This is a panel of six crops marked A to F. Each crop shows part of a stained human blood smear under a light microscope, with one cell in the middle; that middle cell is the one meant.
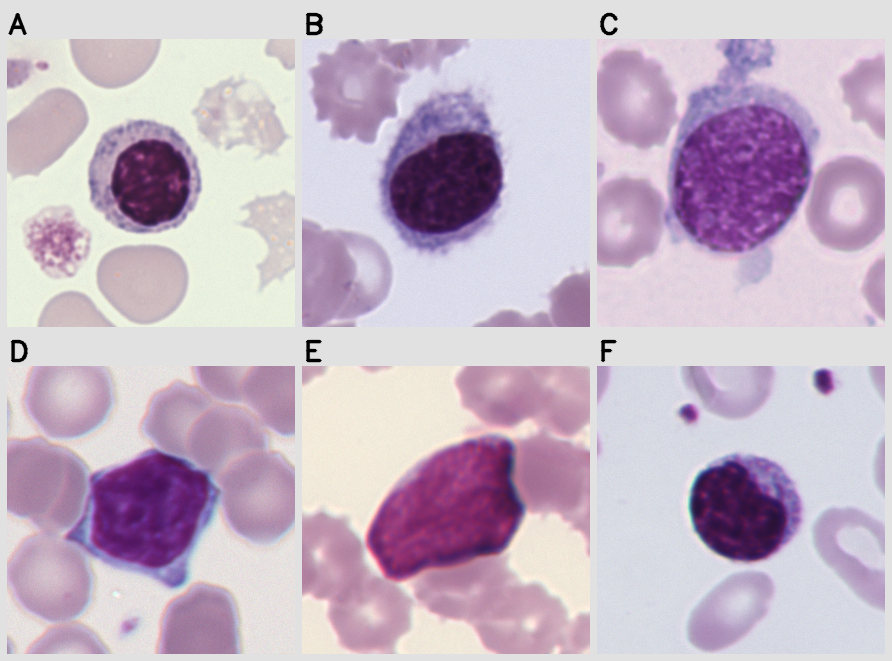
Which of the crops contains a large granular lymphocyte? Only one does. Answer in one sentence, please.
Crop F is the one depicting a large granular lymphocyte.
